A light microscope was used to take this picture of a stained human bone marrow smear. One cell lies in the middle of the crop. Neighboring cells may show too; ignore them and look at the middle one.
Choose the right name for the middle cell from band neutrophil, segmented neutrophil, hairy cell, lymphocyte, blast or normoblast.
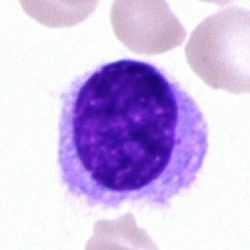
hairy cell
